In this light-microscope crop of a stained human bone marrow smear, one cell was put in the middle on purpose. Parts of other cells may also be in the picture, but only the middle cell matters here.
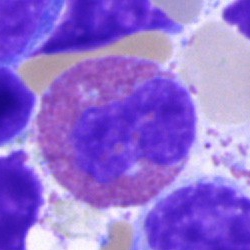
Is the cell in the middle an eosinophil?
yes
